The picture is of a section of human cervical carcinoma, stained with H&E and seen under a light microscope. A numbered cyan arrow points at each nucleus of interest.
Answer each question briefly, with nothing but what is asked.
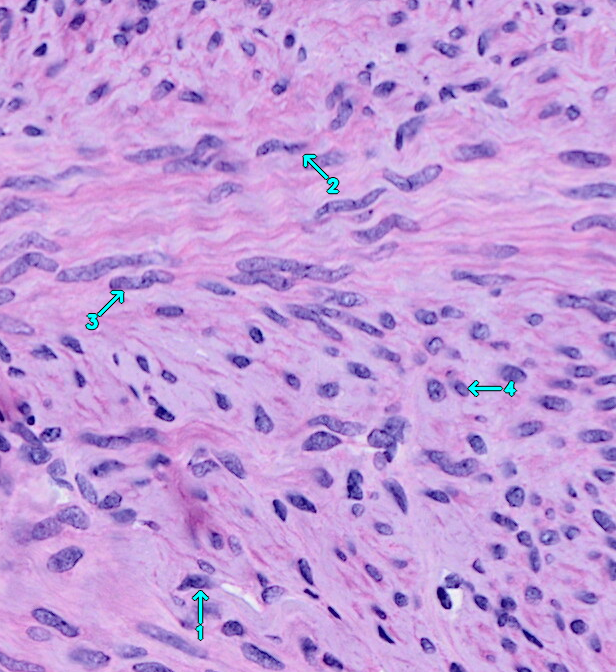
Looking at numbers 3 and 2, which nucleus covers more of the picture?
3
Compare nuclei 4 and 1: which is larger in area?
1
